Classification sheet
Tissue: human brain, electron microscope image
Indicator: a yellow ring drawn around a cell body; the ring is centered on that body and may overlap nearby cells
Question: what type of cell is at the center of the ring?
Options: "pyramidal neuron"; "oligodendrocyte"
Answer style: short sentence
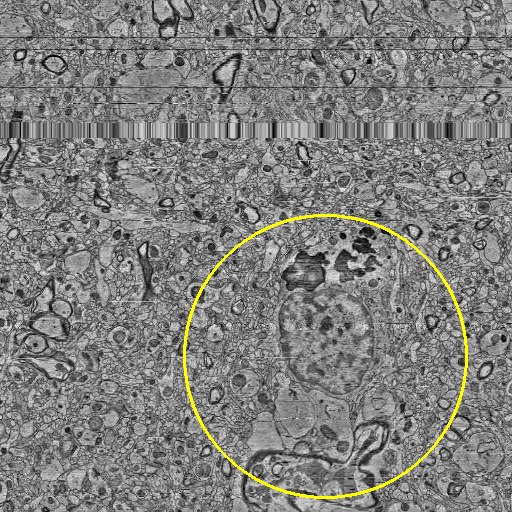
At the ring's center is an oligodendrocyte.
